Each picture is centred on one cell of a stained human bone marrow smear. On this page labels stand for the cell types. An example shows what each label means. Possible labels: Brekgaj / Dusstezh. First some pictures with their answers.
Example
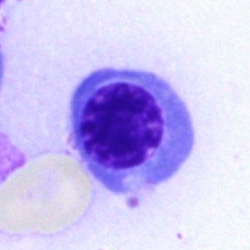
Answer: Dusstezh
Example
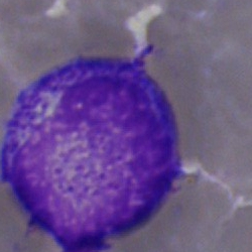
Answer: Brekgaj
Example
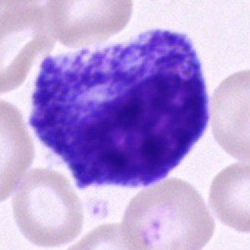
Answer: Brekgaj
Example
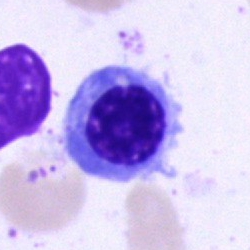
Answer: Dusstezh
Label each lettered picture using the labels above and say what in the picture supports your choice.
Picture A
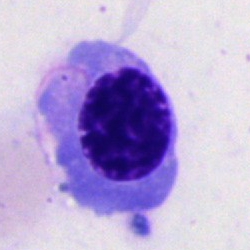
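Dusstezh. Evidence: The chromatin is dark purple and coarsely clumped.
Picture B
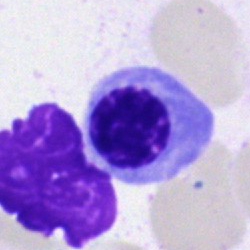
Dusstezh. Evidence: The chromatin is dark and coarsely clumped.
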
